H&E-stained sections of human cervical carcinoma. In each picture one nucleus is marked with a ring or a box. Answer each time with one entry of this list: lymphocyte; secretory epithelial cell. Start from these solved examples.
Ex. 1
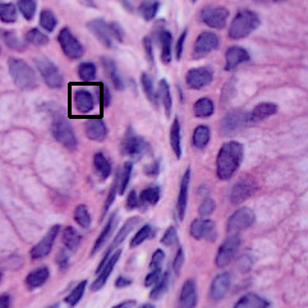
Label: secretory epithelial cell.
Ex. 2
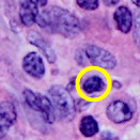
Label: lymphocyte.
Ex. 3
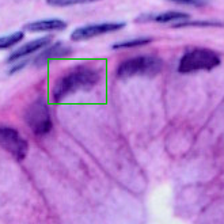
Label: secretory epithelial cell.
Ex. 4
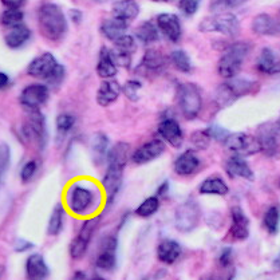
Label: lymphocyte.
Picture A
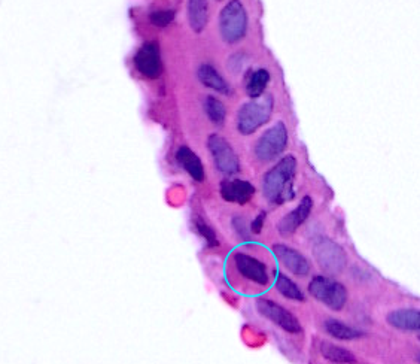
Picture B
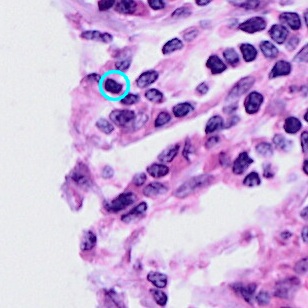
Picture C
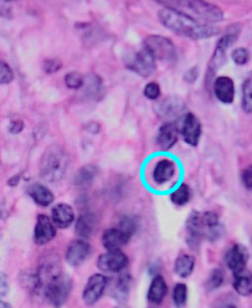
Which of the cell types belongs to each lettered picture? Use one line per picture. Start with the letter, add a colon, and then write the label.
A: secretory epithelial cell.
B: lymphocyte.
C: lymphocyte.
